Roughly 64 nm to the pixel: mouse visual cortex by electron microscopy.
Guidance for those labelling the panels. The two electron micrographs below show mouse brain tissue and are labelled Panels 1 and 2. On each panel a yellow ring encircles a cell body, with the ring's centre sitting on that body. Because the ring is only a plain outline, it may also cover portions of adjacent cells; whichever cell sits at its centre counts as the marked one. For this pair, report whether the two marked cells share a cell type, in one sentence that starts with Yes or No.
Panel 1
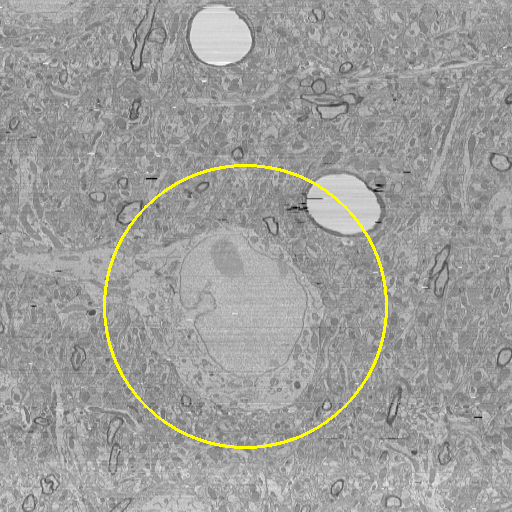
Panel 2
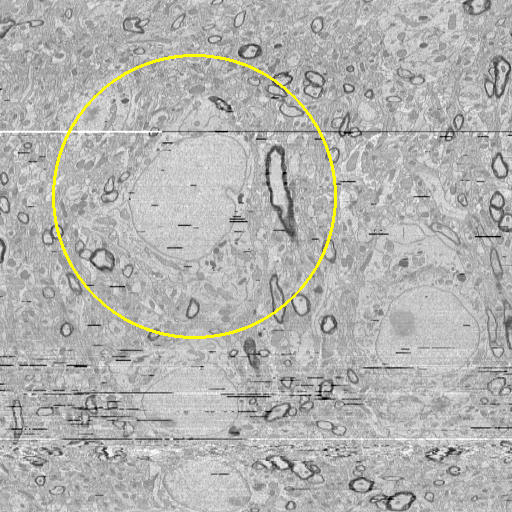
Yes, in Panel 1 and Panel 2 the marked cells at the ring centres share one type.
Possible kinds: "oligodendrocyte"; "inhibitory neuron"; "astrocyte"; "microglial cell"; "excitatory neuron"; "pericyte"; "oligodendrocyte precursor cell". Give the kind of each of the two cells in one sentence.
The second cell is an excitatory neuron, just as the first is.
